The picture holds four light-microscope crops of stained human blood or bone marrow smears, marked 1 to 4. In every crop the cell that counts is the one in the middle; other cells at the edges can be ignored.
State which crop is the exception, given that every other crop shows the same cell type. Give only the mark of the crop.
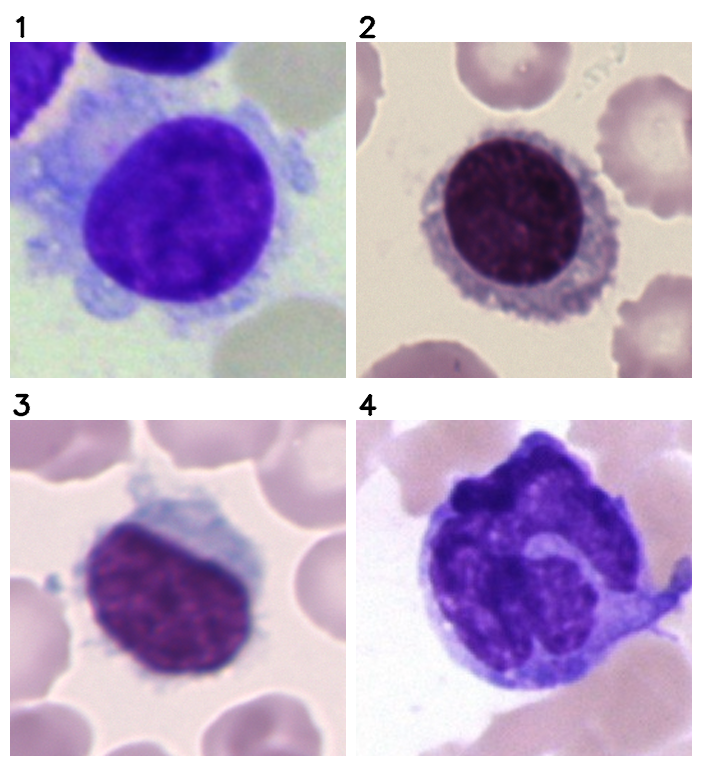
4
